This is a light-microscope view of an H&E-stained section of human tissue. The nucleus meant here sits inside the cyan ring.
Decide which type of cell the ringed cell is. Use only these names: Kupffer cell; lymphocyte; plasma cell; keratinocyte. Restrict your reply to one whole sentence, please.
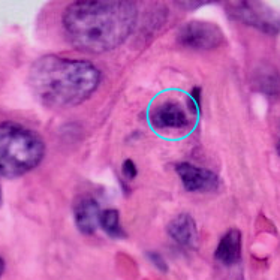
It is as a plasma cell that the ringed cell is recorded.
